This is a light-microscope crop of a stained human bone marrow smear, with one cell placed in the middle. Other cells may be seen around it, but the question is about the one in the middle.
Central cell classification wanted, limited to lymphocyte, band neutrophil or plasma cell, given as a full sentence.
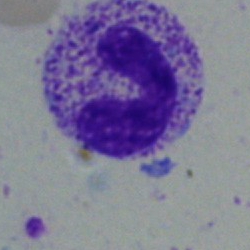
Standing at the centre of this crop is a band neutrophil.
